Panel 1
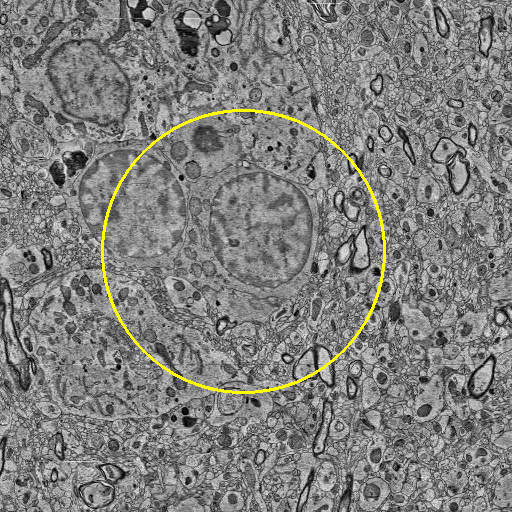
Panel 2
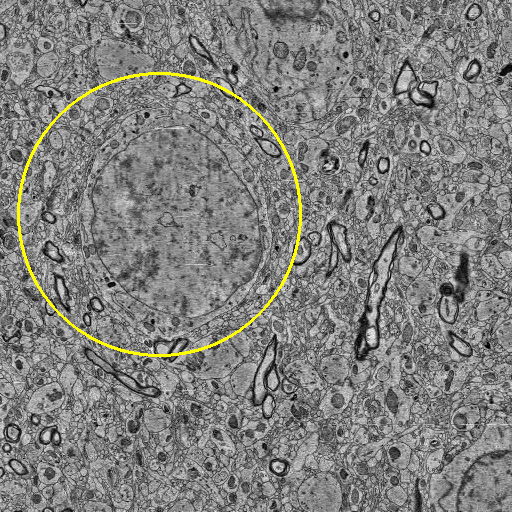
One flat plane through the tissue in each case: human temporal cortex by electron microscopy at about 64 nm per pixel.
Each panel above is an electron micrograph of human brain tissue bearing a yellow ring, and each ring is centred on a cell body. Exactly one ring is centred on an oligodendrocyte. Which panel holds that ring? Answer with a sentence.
That ring is in Panel 1.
